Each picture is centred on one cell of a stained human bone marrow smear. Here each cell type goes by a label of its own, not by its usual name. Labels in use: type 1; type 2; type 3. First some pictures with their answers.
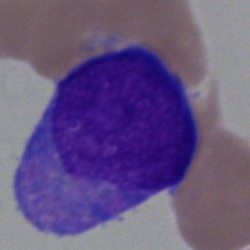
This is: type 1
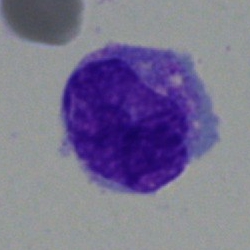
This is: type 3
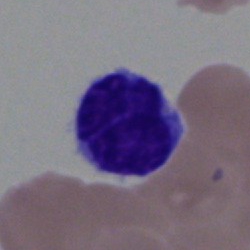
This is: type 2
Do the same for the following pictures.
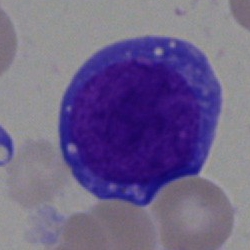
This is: type 1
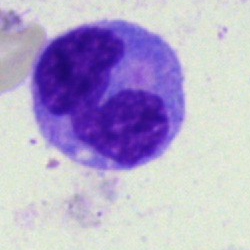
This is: type 3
